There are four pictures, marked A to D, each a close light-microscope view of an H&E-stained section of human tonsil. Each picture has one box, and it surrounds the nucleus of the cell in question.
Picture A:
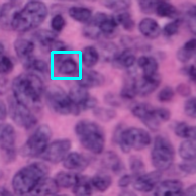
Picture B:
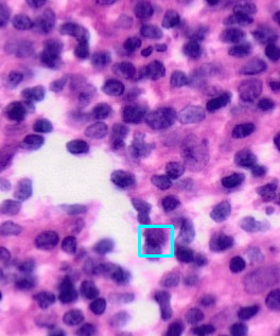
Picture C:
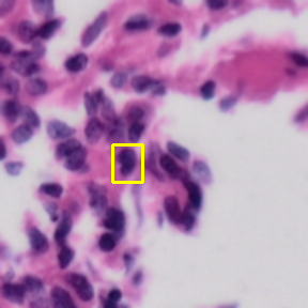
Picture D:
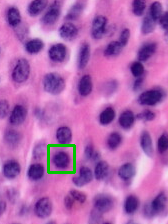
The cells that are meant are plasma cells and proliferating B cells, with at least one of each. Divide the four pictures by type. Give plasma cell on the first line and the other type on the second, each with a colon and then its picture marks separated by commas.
plasma cell: D
proliferating B cell: A, B, C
